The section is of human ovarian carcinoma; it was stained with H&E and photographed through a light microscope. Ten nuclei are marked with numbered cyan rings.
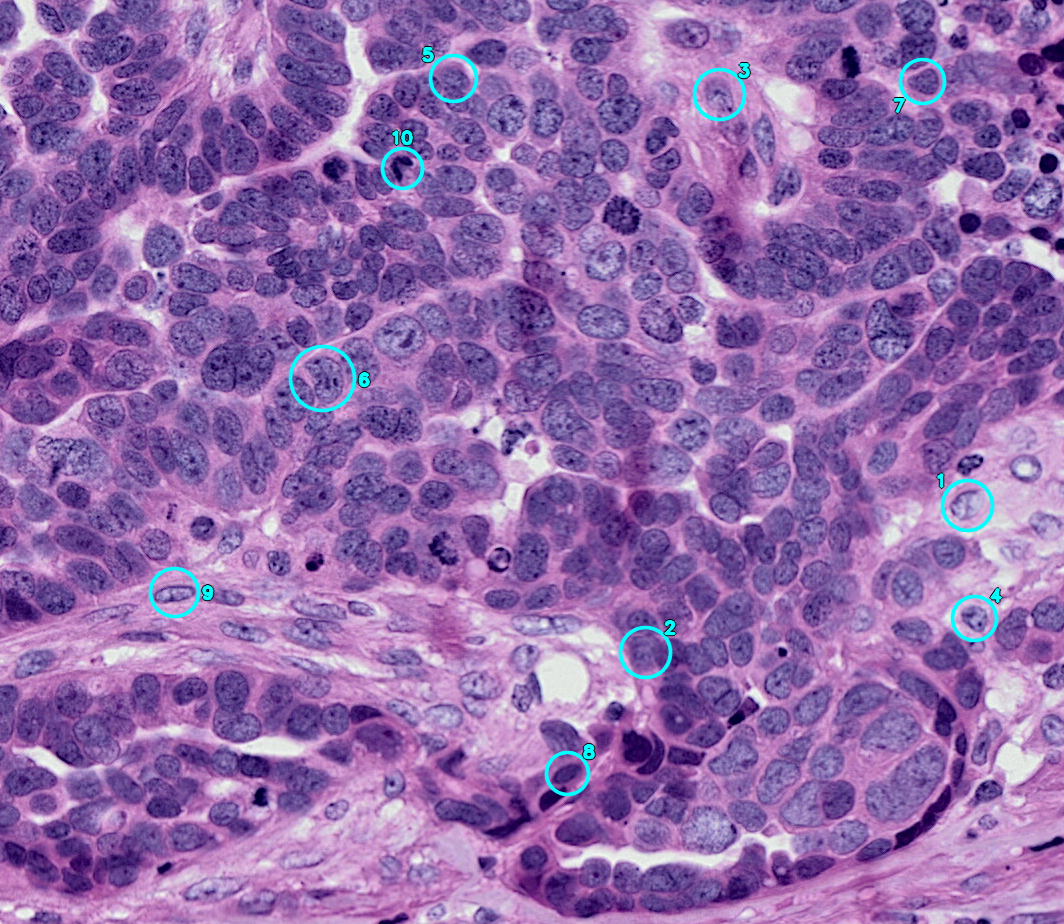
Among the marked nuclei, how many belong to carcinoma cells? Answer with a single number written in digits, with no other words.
6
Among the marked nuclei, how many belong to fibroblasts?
3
